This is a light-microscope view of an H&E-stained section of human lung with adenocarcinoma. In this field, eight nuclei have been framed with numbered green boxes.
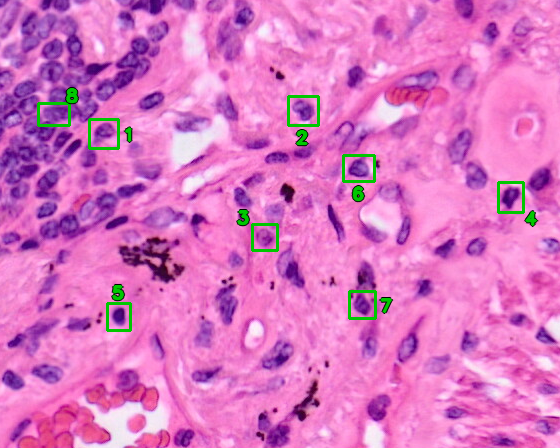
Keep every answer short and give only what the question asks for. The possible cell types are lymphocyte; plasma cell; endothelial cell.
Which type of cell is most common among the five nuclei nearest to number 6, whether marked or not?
endothelial cell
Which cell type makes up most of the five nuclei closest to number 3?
lymphocyte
